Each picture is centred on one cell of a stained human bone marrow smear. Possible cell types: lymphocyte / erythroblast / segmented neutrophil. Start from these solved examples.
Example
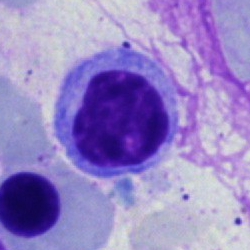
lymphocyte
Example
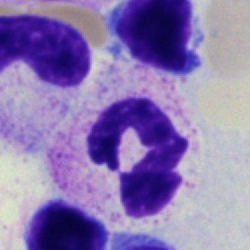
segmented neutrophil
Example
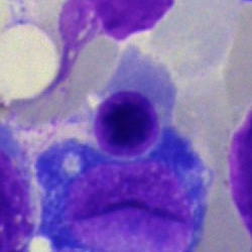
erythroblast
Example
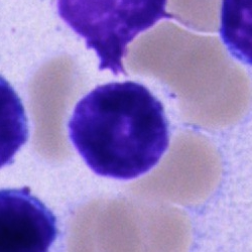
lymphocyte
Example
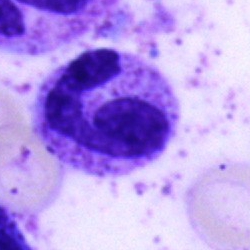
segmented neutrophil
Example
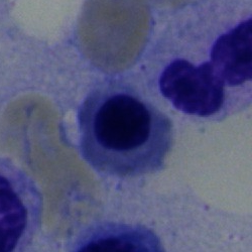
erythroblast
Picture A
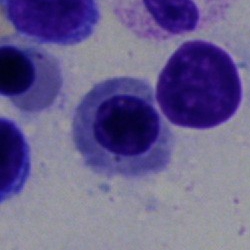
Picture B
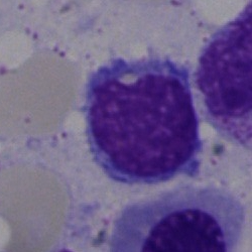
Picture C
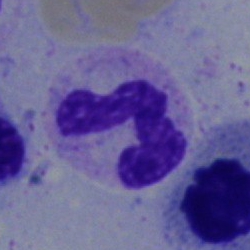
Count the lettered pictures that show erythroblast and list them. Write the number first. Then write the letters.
1, namely A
